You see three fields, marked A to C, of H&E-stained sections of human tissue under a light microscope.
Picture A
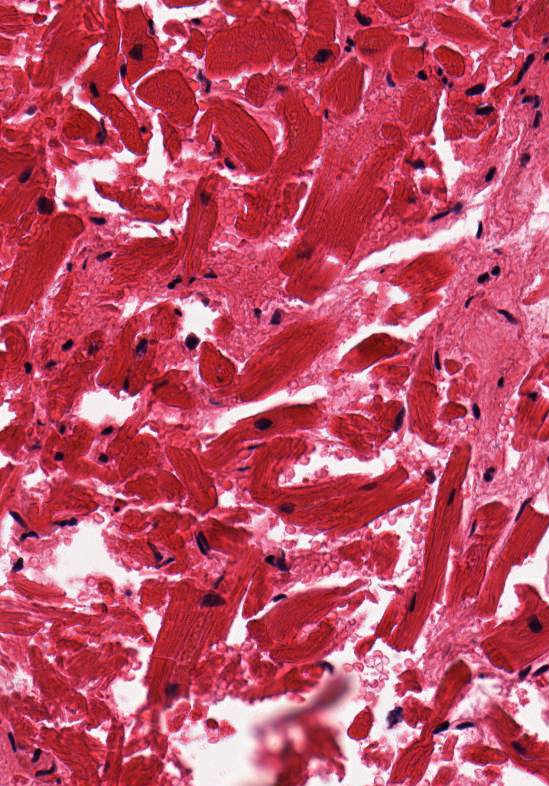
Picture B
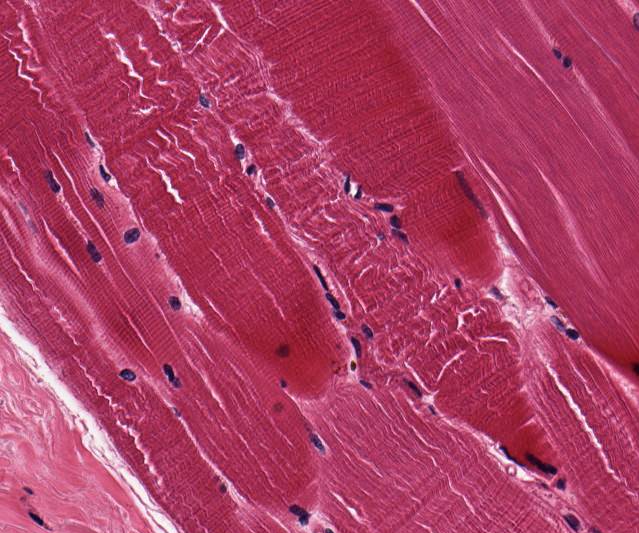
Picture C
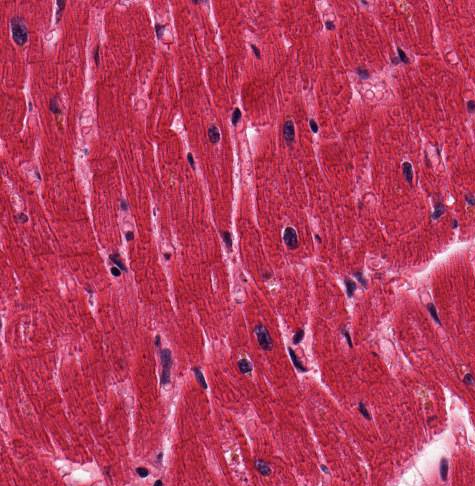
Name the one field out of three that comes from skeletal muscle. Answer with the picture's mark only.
B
